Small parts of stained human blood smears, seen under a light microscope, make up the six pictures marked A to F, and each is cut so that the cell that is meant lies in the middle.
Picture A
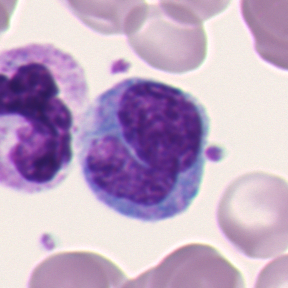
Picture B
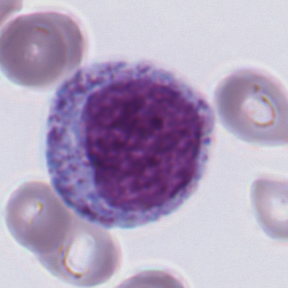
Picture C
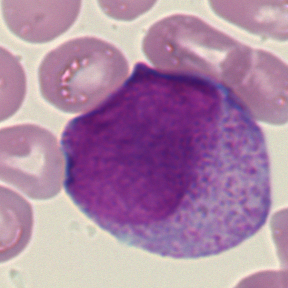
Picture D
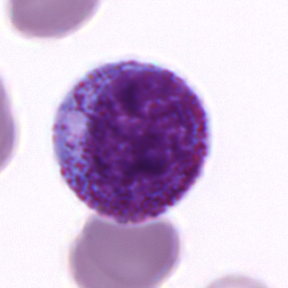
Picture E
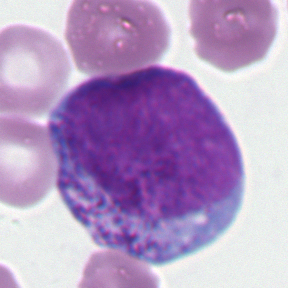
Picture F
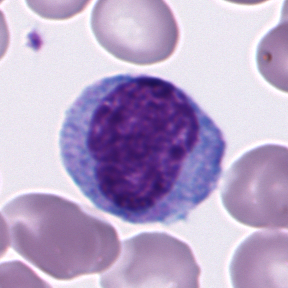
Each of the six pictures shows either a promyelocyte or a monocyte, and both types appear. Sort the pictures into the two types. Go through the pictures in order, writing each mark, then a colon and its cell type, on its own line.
A: monocyte
B: promyelocyte
C: promyelocyte
D: promyelocyte
E: promyelocyte
F: monocyte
